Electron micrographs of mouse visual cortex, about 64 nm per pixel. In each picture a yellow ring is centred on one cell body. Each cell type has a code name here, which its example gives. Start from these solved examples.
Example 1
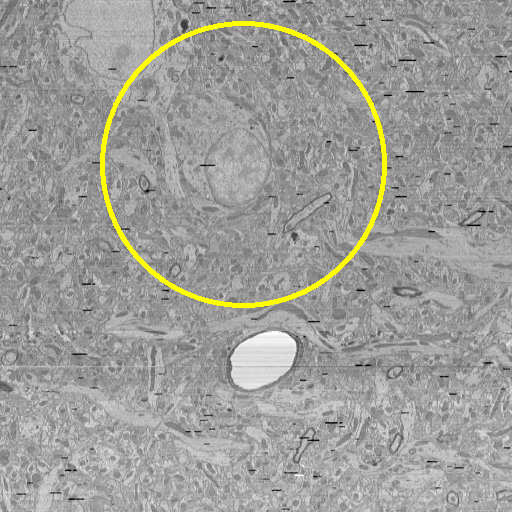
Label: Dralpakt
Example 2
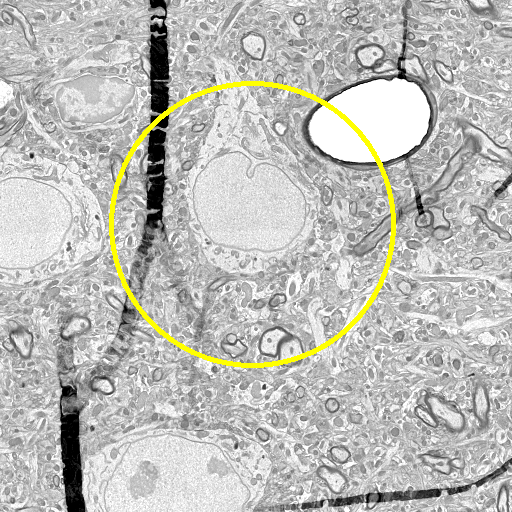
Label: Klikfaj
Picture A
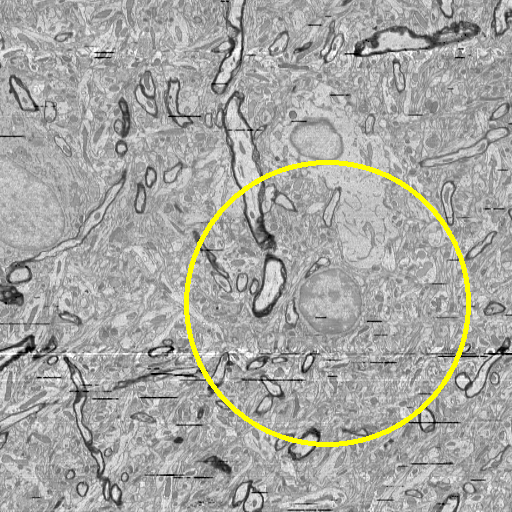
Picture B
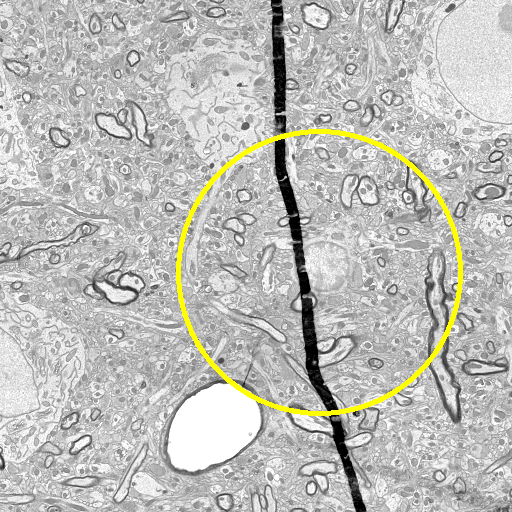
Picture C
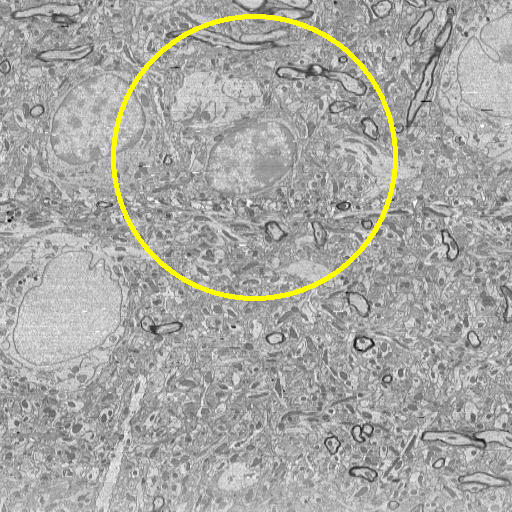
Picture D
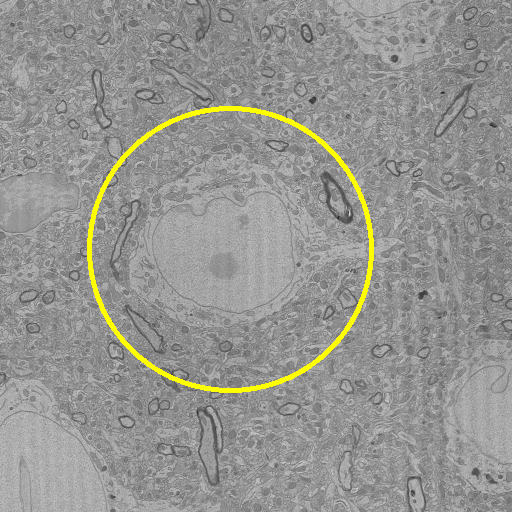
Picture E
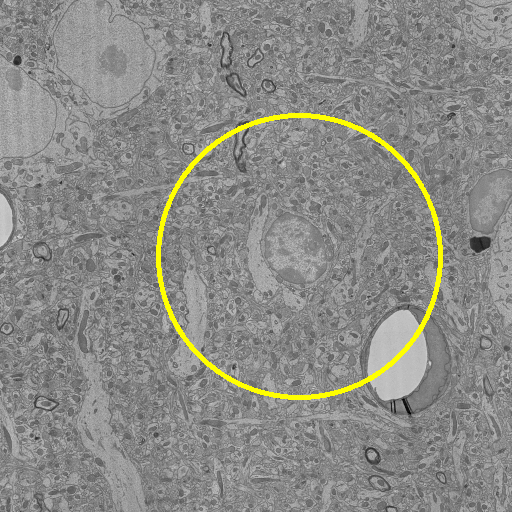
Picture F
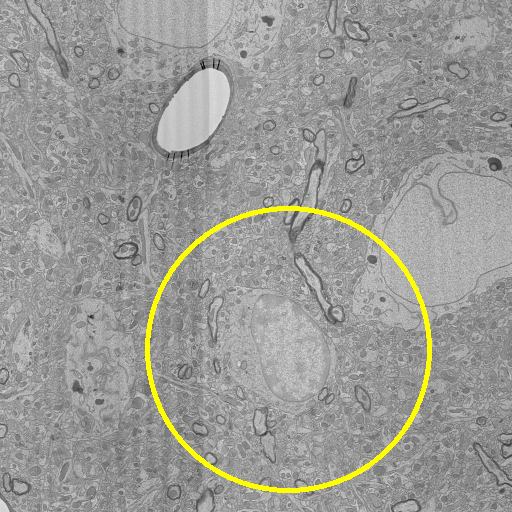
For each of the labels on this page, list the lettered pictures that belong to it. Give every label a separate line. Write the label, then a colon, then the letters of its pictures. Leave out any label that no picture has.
Dralpakt: A, B, C, E, F
Klikfaj: D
